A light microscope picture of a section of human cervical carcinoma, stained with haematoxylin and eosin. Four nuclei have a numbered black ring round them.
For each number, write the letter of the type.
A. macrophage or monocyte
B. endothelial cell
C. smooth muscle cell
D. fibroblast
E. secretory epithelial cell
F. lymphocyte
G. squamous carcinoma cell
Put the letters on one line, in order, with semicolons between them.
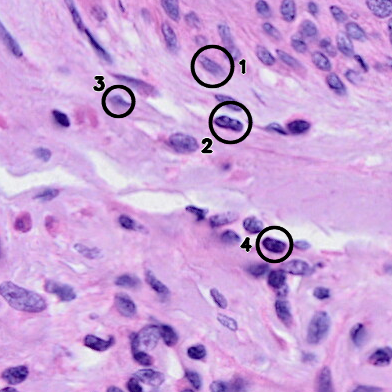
C; F; D; F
